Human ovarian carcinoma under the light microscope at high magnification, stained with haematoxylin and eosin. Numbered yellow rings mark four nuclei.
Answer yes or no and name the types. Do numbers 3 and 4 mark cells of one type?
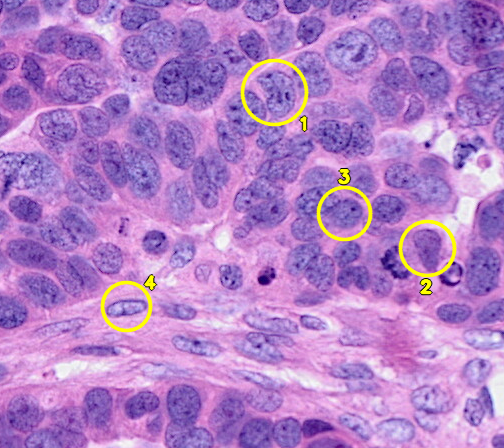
No, mate, cell 3 is a carcinoma cell and cell 4 is a fibroblast.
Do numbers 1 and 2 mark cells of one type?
Yes, both cell 1 and cell 2 count among the carcinoma cells.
